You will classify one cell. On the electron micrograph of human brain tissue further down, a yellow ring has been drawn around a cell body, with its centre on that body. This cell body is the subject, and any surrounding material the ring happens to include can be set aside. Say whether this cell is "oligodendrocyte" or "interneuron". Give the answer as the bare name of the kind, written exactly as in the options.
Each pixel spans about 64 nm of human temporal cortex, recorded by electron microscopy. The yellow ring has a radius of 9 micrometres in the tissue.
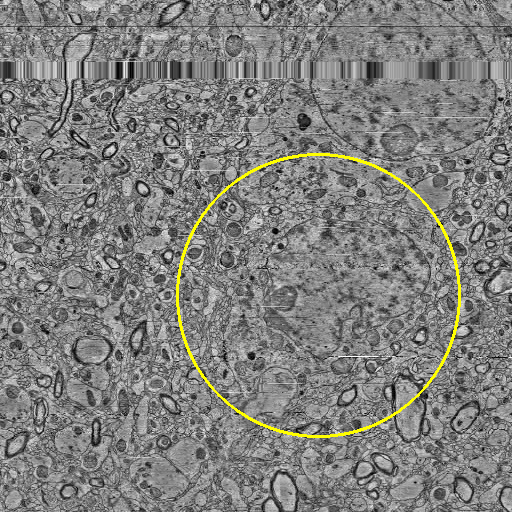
interneuron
